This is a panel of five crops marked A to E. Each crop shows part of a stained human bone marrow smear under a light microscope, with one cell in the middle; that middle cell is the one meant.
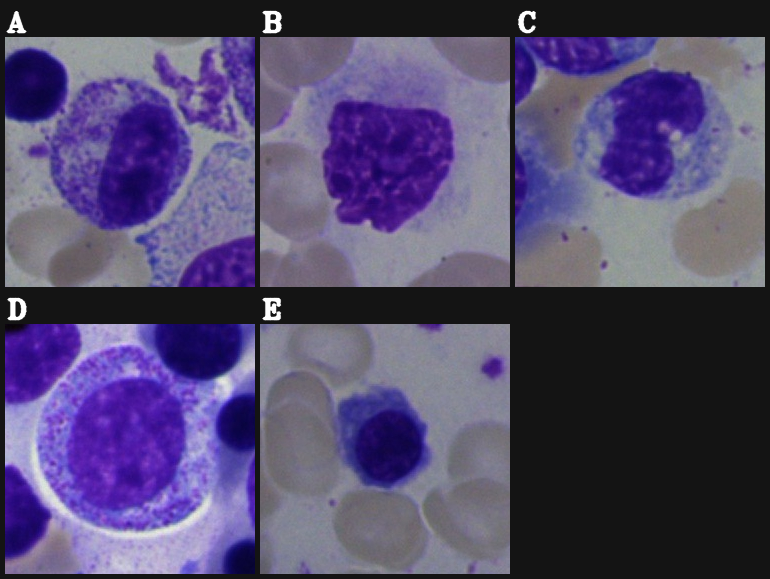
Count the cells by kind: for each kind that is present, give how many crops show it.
myelocyte: 2
hairy cell: 1
monocyte: 1
erythroblast: 1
